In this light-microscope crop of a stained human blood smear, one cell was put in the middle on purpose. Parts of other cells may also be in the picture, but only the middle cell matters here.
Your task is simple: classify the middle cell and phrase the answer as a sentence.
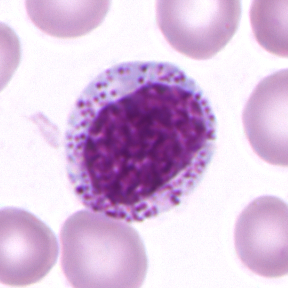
The cell shown in the center of this light-microscope crop is a metamyelocyte.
